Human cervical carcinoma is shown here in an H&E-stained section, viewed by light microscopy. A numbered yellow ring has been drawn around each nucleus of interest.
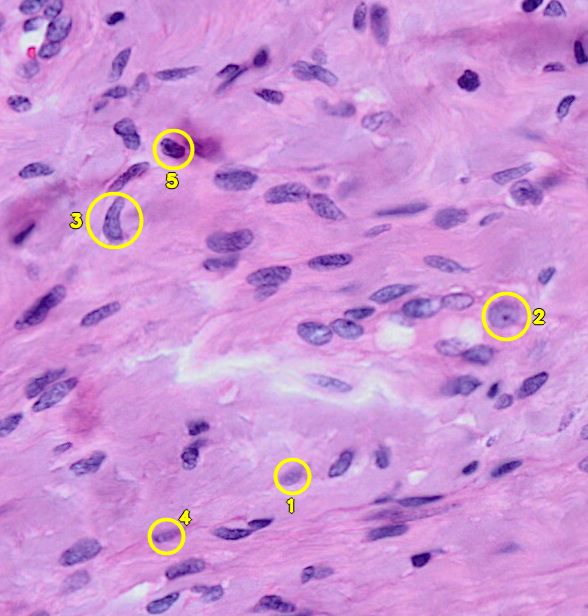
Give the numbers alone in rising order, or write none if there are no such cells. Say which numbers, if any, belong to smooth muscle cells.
4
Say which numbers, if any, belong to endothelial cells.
2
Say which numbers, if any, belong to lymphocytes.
5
